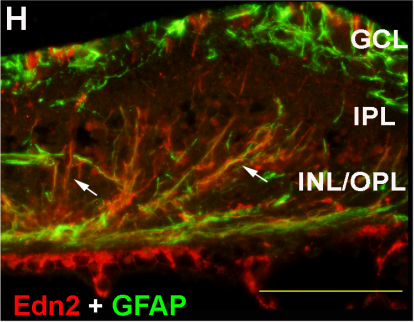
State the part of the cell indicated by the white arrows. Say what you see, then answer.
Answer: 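The arrows point to long thin fibres running obliquely through the deeper layer. These fibres appear yellow-orange where red and green overlap. The fibres stretch across the thickness of the retina rather than lying along its surface.
Hence: Müller cell processes.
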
